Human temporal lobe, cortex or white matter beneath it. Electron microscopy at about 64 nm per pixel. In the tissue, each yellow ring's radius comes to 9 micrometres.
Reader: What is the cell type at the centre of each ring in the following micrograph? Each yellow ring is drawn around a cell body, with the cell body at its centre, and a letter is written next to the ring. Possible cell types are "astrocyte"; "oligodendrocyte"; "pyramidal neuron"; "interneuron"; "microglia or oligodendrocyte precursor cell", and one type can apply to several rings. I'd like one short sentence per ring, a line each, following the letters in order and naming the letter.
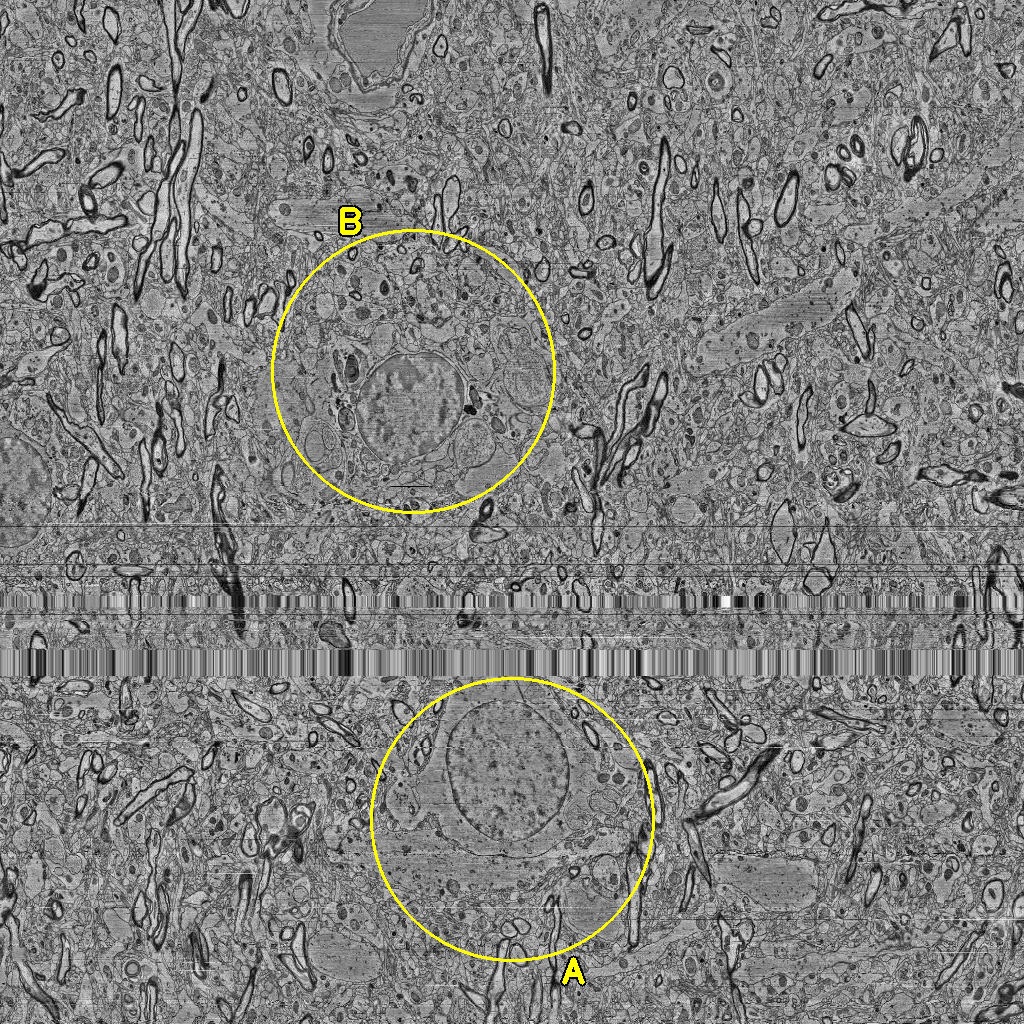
The cell body at the centre of ring A is that of an astrocyte.
The cell body at the centre of ring B is that of a microglial cell or oligodendrocyte precursor cell.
